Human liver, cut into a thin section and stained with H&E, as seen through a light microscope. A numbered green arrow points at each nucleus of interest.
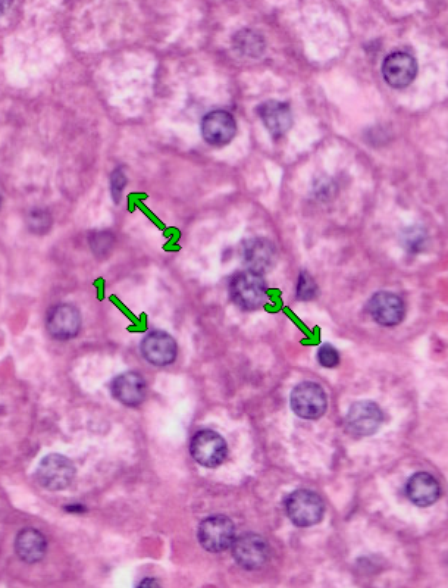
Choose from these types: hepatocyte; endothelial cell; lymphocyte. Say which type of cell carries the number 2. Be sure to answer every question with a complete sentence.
Marked with the number 2, this cell is an endothelial cell.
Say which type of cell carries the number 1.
It is as a hepatocyte that the cell numbered 1 is identified.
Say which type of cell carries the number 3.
Number 3 among the marked cells is a lymphocyte.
